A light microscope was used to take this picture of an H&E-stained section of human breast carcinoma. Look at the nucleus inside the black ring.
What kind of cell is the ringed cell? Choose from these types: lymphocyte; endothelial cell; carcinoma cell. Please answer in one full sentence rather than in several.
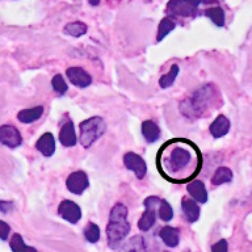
At the level of cell identity, the ringed cell is a lymphocyte.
